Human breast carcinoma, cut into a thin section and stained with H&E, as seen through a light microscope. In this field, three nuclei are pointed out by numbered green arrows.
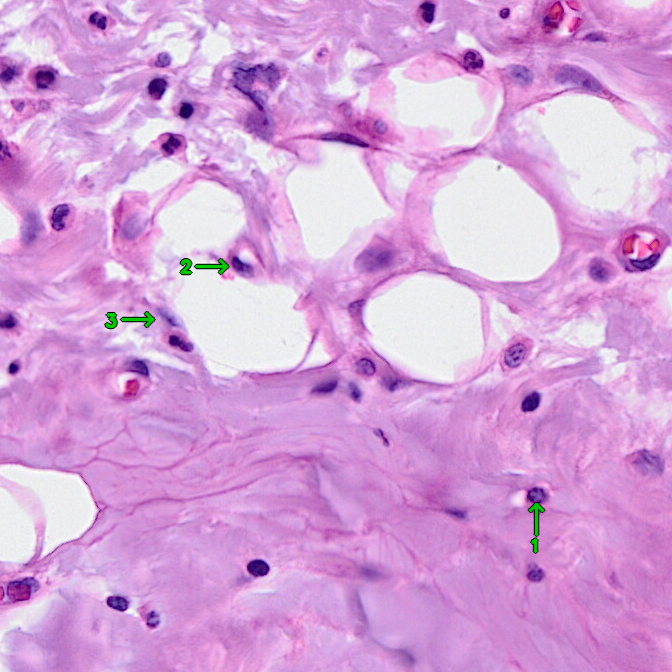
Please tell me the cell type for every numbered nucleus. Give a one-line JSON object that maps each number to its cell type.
{"1": "mast cell", "2": "endothelial cell", "3": "fibroblast"}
